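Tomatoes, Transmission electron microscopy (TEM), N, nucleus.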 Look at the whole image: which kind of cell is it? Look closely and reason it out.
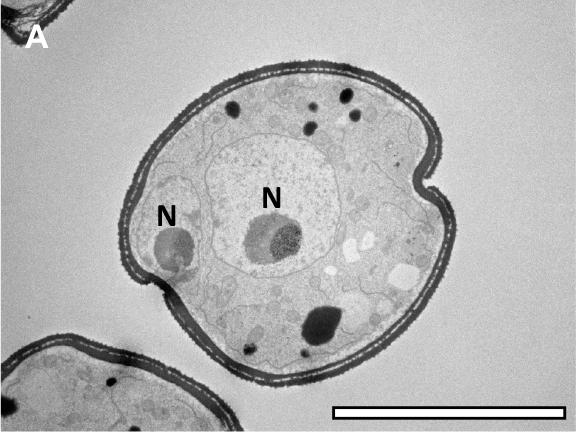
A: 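A single rounded cell is enclosed by a thick, dark, layered outer wall with a sculpted surface. The wall is infolded at one side like an aperture. The cytoplasm holds two nuclei of different appearance. On this evidence: pollen.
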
